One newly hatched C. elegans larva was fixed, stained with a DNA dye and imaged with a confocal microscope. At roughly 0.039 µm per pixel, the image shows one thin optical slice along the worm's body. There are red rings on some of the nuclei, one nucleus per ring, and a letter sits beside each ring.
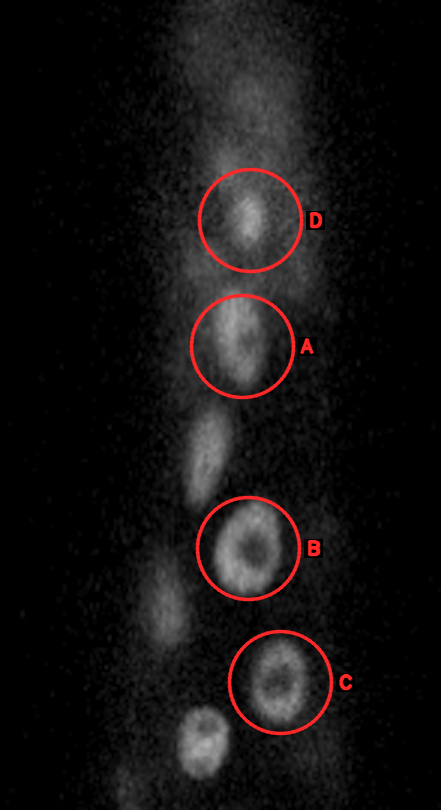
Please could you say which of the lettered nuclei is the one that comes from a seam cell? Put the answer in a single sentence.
B is the nucleus of a seam cell.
